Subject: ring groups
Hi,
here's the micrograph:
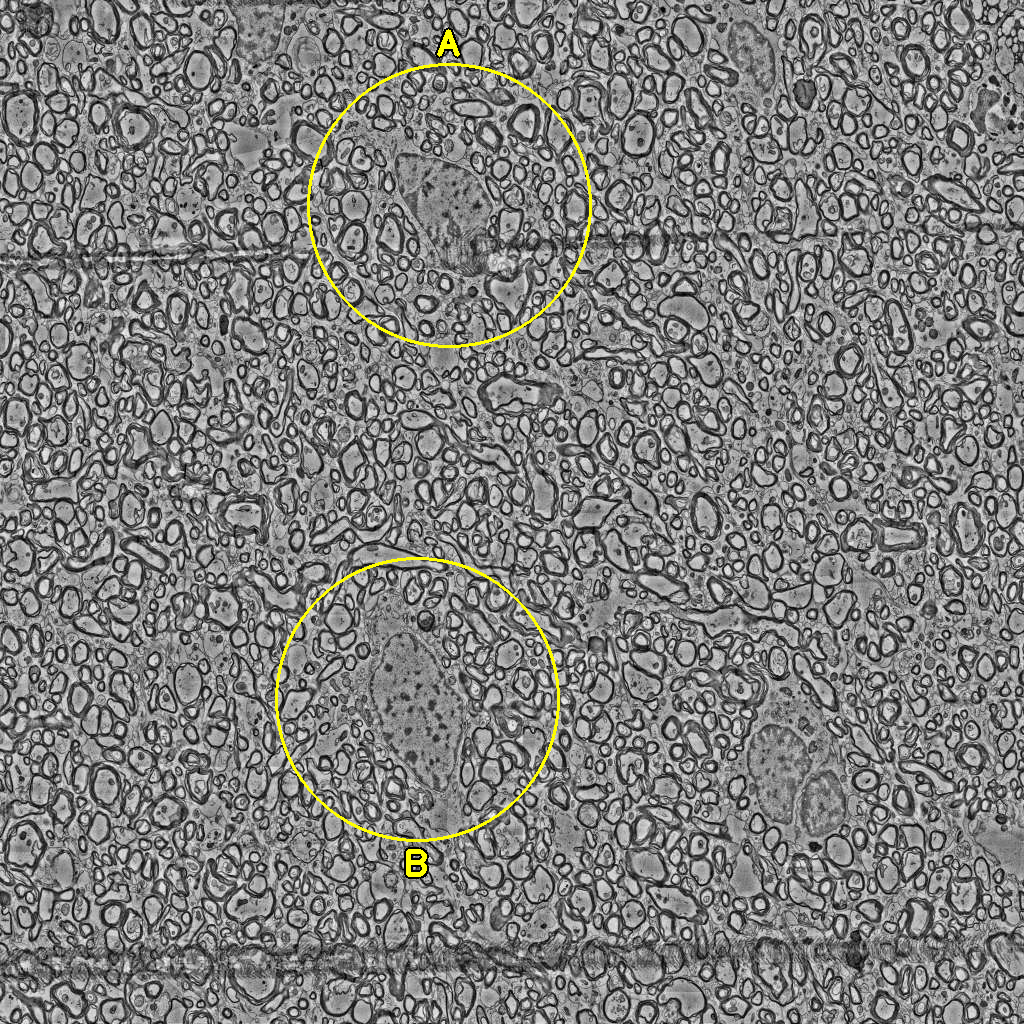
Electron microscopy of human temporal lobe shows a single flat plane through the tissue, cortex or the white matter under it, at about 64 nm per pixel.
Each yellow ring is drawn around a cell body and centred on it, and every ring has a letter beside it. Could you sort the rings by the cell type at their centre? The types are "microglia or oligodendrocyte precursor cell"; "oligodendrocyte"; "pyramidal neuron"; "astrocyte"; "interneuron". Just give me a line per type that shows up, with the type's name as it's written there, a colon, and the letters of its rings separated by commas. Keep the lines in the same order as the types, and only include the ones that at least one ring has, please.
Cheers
microglia or oligodendrocyte precursor cell: A
astrocyte: B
